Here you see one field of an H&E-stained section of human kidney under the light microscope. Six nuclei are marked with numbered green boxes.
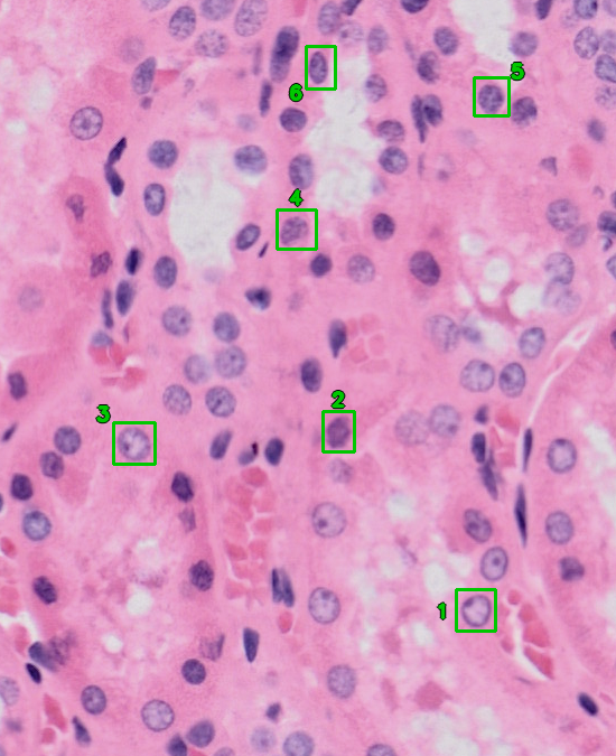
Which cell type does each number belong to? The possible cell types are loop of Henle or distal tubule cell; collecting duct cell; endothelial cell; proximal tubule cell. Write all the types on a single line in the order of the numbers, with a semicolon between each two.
proximal tubule cell; proximal tubule cell; proximal tubule cell; loop of Henle or distal tubule cell; loop of Henle or distal tubule cell; loop of Henle or distal tubule cell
